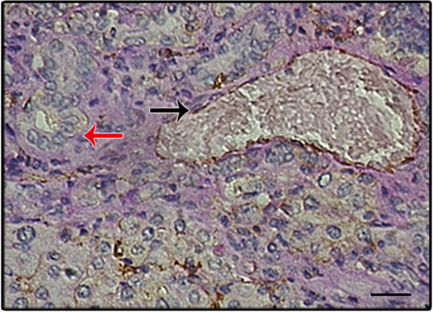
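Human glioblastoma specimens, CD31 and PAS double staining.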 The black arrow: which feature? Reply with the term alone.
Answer: blood vessel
